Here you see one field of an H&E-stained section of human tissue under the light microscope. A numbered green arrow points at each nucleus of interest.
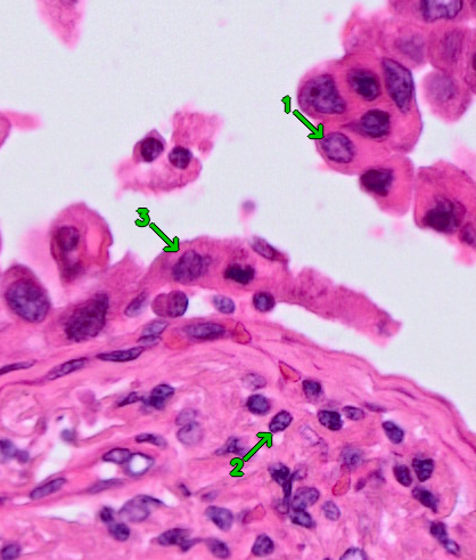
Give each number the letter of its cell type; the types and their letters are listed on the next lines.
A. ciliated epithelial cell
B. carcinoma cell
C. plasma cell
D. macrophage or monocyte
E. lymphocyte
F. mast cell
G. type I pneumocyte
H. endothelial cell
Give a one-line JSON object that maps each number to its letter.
{"1": "B", "2": "E", "3": "B"}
